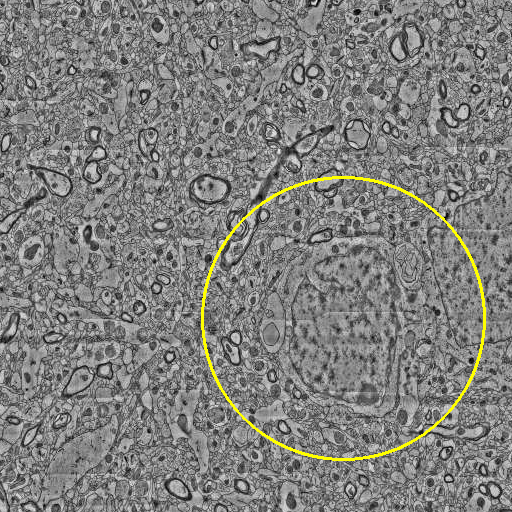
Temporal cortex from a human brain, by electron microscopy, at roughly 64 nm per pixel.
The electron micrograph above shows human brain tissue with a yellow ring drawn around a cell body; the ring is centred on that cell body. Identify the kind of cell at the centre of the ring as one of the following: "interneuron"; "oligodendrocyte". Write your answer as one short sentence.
The cell at the centre of the ring is an interneuron.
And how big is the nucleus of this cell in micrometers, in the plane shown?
Roughly 10 by 8 micrometres is the size of the nucleus in this plane.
